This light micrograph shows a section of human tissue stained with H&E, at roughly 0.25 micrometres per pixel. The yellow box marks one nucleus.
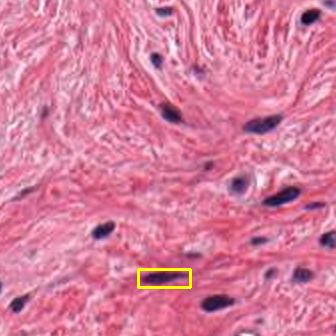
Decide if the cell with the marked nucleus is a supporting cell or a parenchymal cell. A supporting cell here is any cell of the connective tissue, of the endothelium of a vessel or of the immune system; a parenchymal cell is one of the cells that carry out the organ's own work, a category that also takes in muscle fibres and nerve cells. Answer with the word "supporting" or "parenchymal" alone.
supporting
